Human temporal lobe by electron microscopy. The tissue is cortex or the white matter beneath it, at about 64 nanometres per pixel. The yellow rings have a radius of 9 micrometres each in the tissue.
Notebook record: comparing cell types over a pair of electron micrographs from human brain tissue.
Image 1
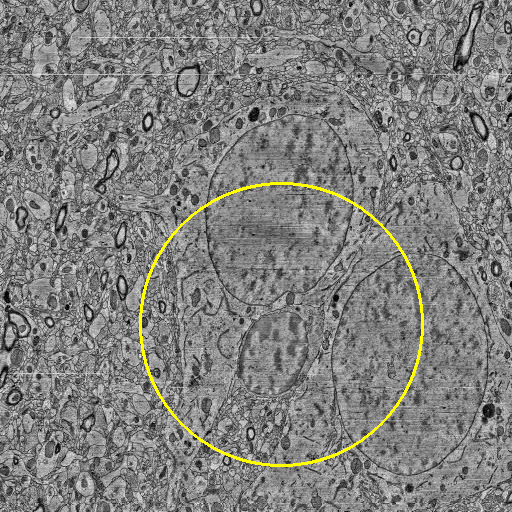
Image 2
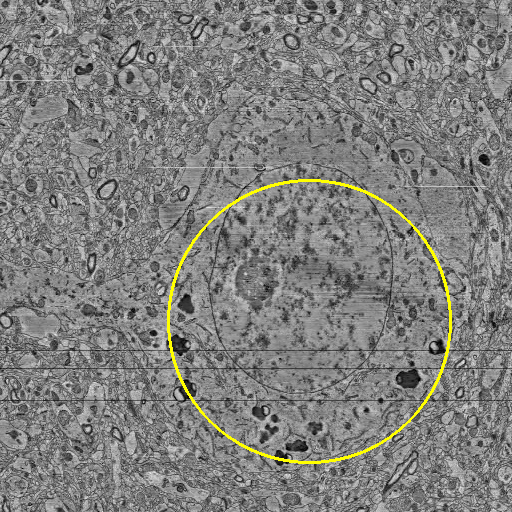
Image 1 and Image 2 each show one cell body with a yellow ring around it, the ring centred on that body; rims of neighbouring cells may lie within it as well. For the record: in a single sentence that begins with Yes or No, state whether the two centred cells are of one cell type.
No, two cell types are found among the centred cells of Image 1 and Image 2.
